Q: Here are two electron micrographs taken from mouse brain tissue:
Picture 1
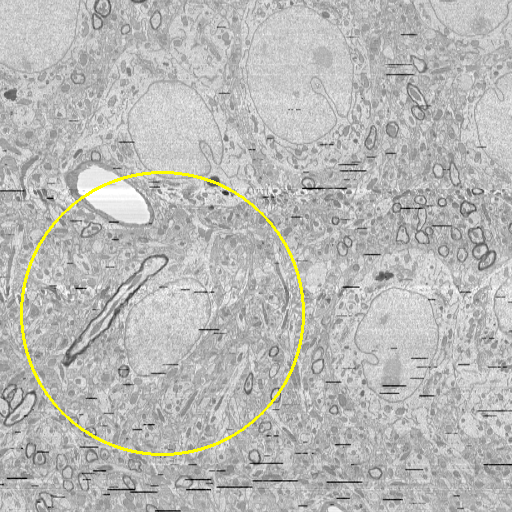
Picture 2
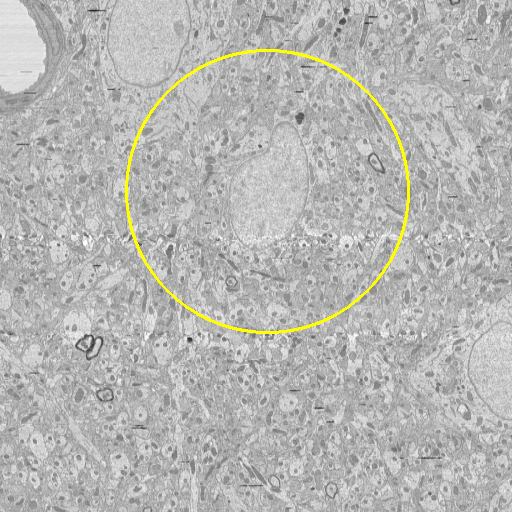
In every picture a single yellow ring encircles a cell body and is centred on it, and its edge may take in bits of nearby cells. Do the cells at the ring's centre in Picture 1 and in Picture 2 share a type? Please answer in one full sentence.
Yes, the cells at the ring's centre in Picture 1 and Picture 2 share a type.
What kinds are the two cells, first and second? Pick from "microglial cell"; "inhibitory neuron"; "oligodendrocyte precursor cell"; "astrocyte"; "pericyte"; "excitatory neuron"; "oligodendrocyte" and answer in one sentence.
Each of the ringed cells, first and second, is an astrocyte.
